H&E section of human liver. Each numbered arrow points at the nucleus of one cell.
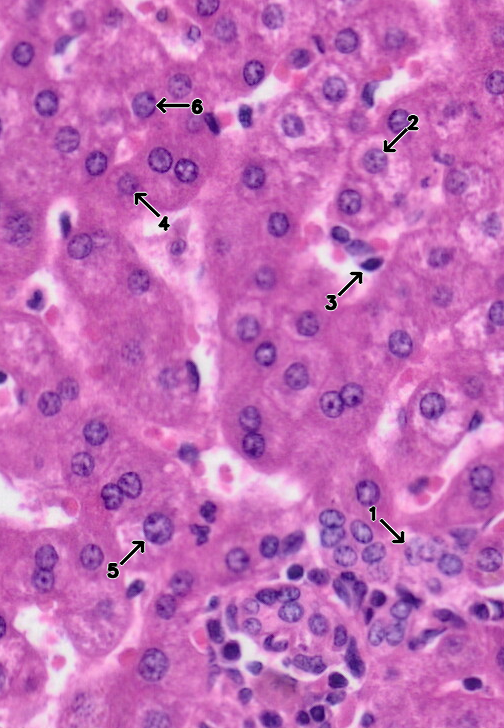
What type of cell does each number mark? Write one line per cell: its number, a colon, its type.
1: cholangiocyte
2: hepatocyte
3: lymphocyte
4: hepatocyte
5: hepatocyte
6: hepatocyte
